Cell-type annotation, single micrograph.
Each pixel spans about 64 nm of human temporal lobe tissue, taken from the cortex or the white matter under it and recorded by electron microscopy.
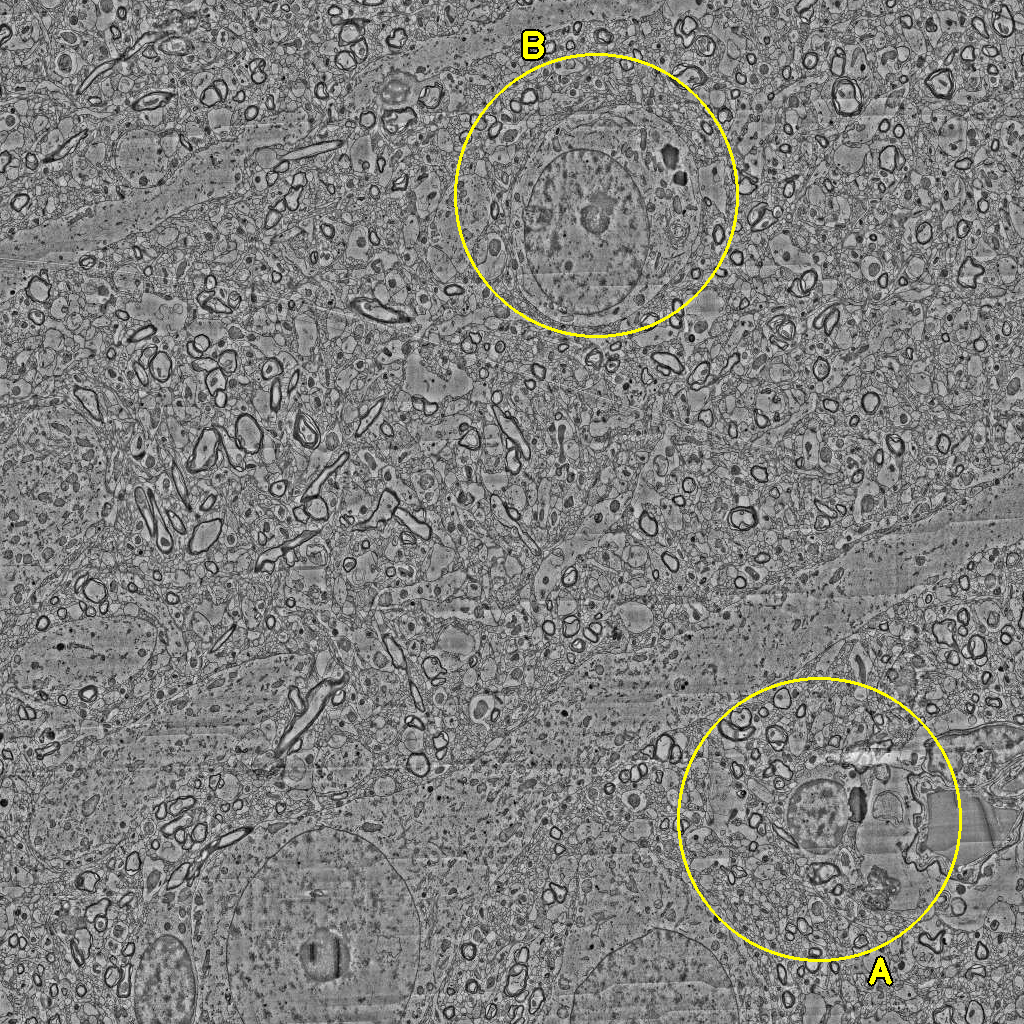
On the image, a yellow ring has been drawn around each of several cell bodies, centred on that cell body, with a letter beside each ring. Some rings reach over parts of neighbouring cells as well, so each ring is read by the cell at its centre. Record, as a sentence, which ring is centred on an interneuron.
Ring B is centred on it.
